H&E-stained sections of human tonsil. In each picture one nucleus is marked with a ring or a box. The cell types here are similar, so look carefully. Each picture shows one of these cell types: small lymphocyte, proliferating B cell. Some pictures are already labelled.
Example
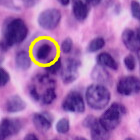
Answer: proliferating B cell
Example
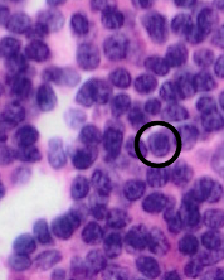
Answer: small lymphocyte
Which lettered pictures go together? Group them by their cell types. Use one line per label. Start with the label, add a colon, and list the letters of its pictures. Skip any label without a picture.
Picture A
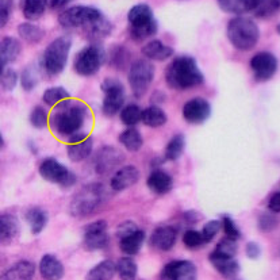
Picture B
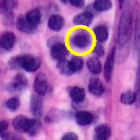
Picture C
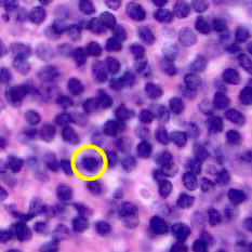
small lymphocyte: B, C
proliferating B cell: A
